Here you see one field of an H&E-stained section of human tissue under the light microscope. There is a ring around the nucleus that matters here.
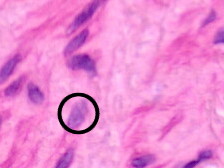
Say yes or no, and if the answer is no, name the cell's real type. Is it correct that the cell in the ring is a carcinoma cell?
No, it is a smooth muscle cell or pericyte.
